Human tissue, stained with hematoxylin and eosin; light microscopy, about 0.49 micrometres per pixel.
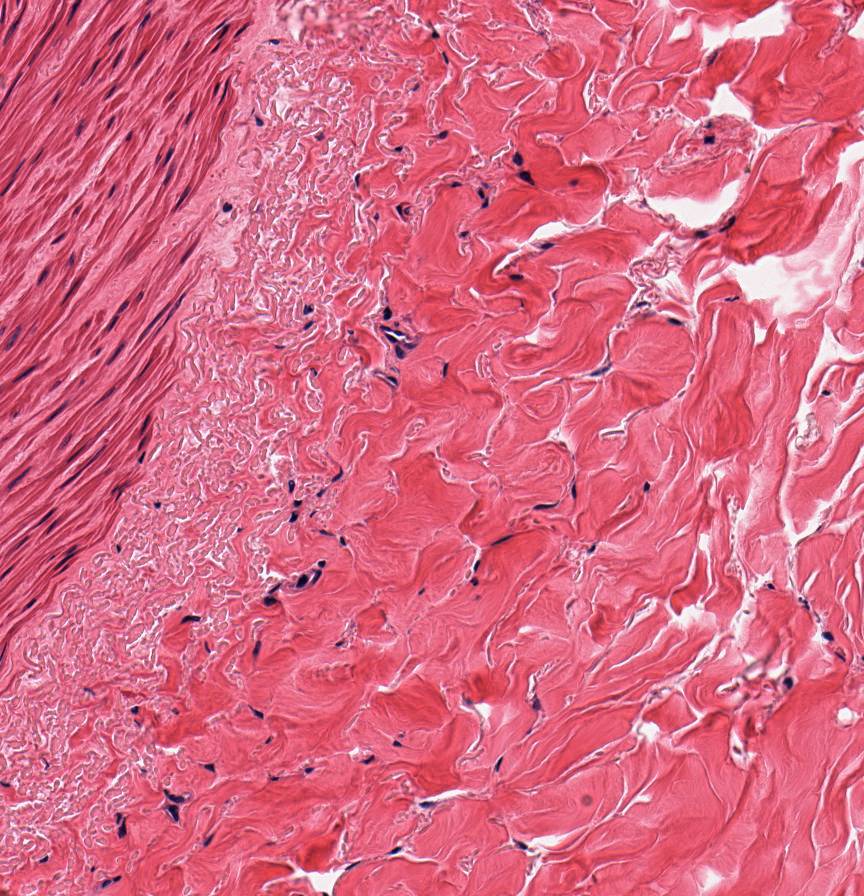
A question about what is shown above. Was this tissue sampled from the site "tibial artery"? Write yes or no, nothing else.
yes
